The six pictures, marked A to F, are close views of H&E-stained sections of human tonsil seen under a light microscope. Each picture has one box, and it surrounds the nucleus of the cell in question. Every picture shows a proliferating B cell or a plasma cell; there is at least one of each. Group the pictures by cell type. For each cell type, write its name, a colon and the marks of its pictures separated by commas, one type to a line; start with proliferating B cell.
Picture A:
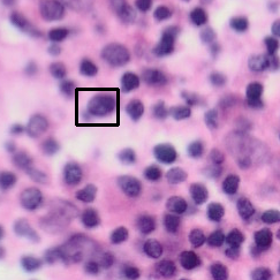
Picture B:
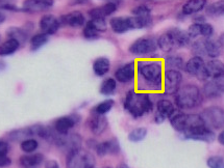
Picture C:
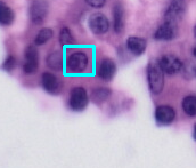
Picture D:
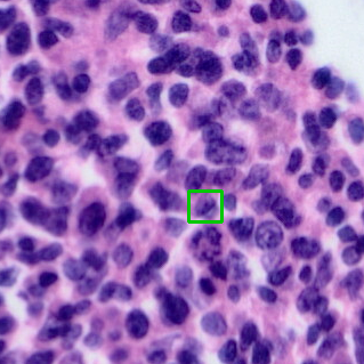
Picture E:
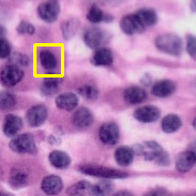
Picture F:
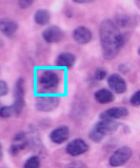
proliferating B cell: A, B, D
plasma cell: C, E, F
